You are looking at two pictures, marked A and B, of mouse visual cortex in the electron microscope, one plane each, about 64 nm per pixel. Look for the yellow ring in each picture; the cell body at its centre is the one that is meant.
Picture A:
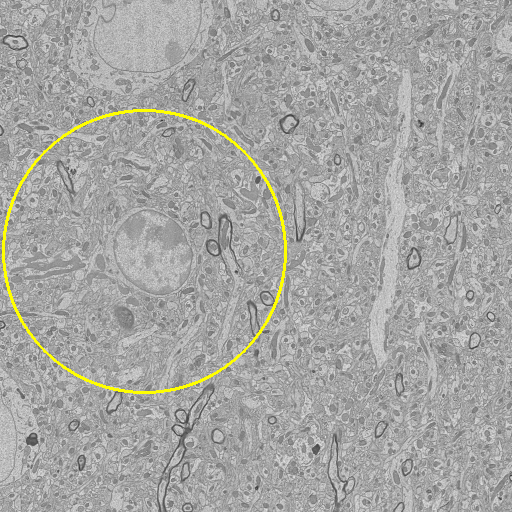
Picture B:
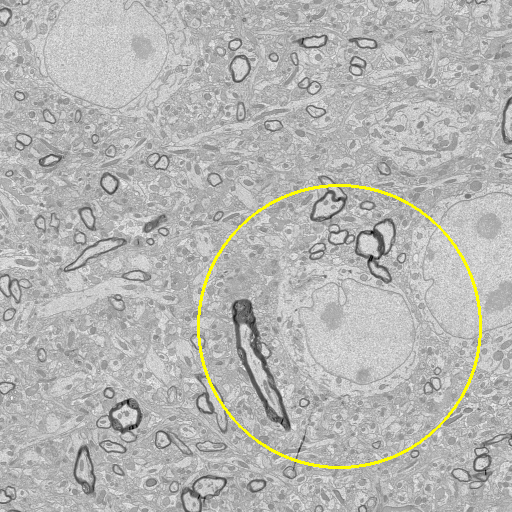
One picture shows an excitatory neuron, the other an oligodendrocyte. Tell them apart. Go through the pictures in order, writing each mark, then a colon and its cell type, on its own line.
A: oligodendrocyte
B: excitatory neuron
